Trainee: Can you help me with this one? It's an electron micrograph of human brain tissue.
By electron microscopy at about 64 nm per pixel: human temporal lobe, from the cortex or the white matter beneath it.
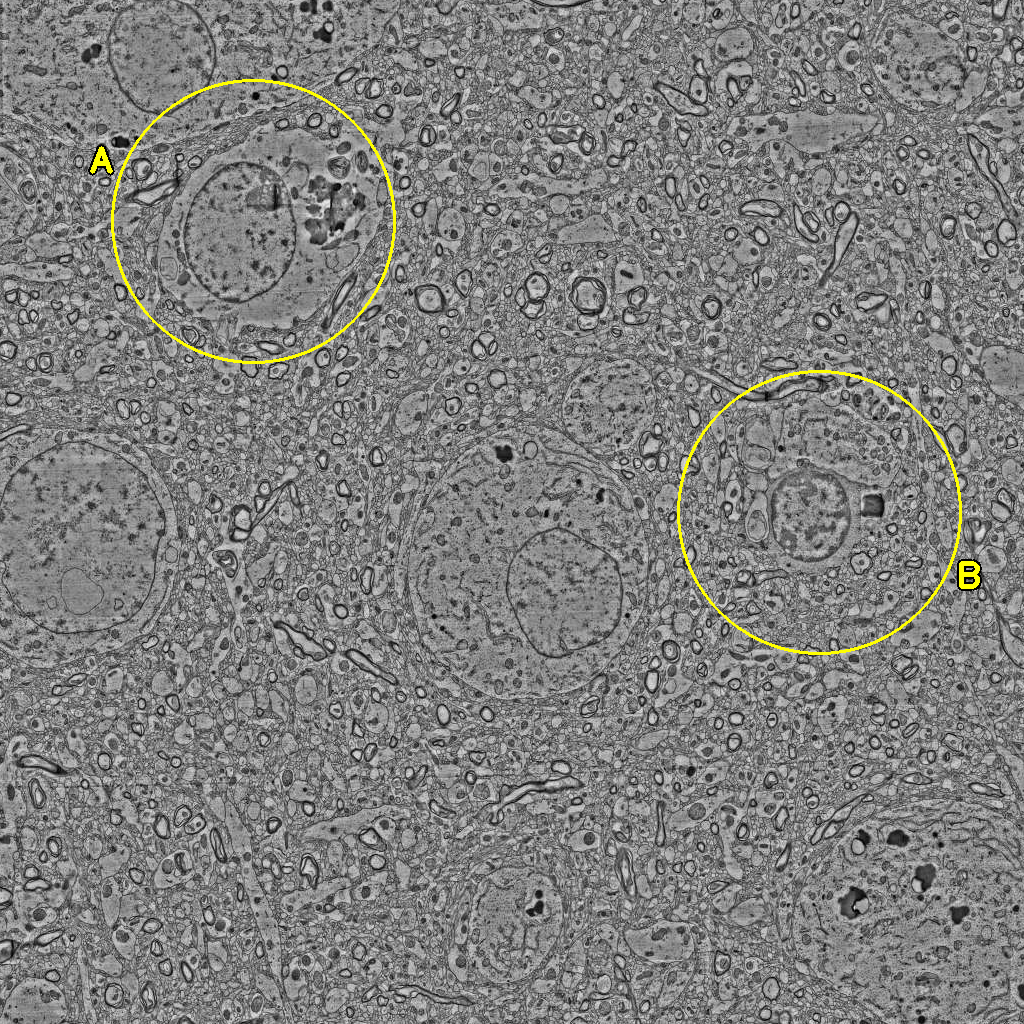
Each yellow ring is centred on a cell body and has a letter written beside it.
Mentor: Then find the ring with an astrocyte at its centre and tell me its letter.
A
